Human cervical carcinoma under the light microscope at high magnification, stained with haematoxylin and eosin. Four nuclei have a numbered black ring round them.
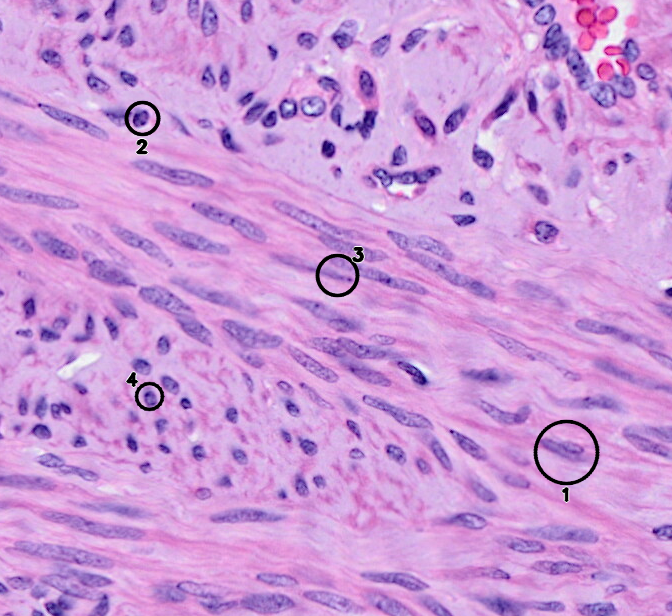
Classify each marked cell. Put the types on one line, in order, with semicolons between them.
smooth muscle cell; lymphocyte; smooth muscle cell; smooth muscle cell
